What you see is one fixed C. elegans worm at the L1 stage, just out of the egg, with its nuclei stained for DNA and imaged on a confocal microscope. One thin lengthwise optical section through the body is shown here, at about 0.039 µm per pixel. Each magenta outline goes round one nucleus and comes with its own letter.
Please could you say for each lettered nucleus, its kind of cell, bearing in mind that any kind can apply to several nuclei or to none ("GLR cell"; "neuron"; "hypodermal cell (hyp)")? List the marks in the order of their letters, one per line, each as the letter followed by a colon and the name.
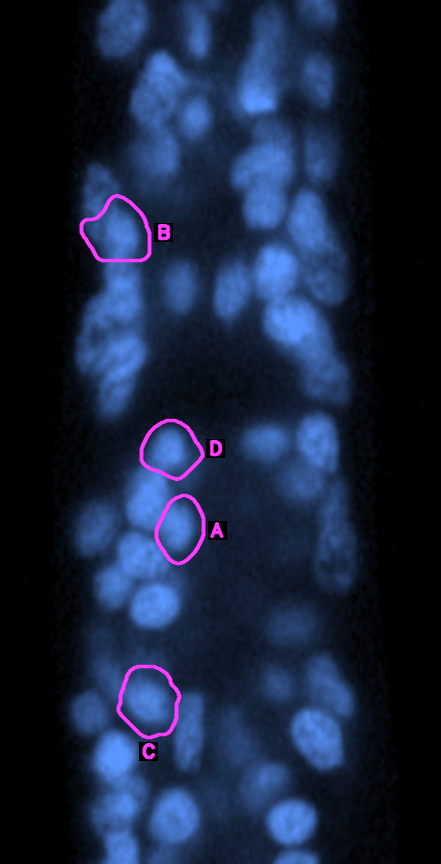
A: neuron
B: neuron
C: neuron
D: GLR cell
